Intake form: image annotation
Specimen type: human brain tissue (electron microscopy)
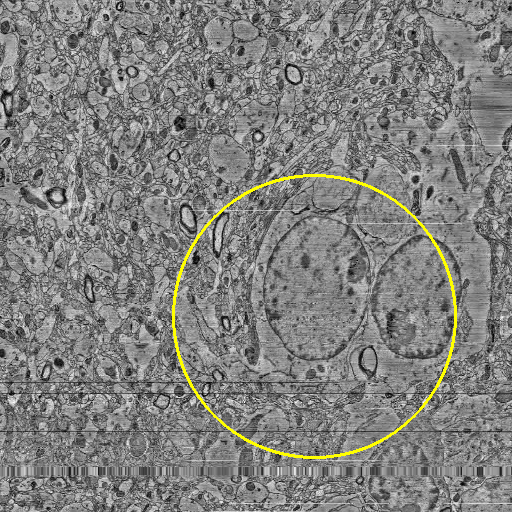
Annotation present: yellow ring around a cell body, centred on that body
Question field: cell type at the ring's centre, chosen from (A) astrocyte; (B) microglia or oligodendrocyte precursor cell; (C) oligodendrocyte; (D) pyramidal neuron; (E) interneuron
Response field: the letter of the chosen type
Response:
A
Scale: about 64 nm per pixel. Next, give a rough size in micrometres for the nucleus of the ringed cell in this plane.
In this plane the nucleus spans approximately 10 by 7 micrometers.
